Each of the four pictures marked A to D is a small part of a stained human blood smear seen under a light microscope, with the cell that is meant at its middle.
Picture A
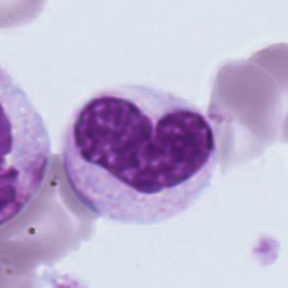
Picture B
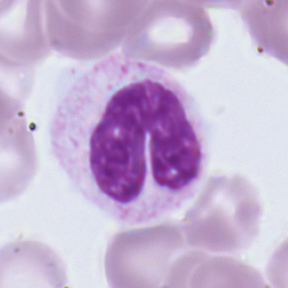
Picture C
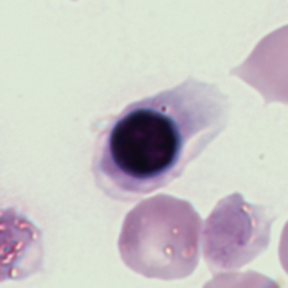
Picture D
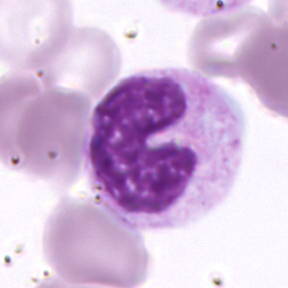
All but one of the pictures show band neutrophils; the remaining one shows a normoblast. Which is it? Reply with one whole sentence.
The picture with the normoblast is C.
